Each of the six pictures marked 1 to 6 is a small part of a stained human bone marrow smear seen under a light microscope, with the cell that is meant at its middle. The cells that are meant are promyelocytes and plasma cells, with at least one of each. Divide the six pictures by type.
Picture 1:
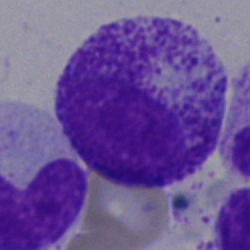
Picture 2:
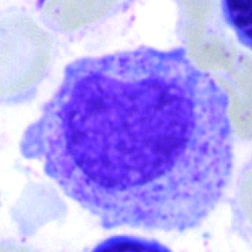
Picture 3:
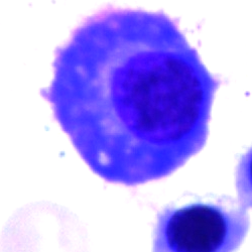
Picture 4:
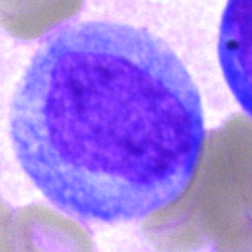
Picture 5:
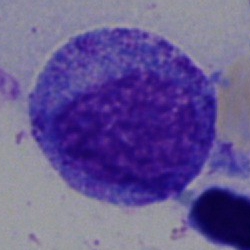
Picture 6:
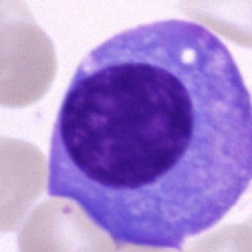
1: promyelocyte
2: promyelocyte
3: plasma cell
4: promyelocyte
5: promyelocyte
6: plasma cell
